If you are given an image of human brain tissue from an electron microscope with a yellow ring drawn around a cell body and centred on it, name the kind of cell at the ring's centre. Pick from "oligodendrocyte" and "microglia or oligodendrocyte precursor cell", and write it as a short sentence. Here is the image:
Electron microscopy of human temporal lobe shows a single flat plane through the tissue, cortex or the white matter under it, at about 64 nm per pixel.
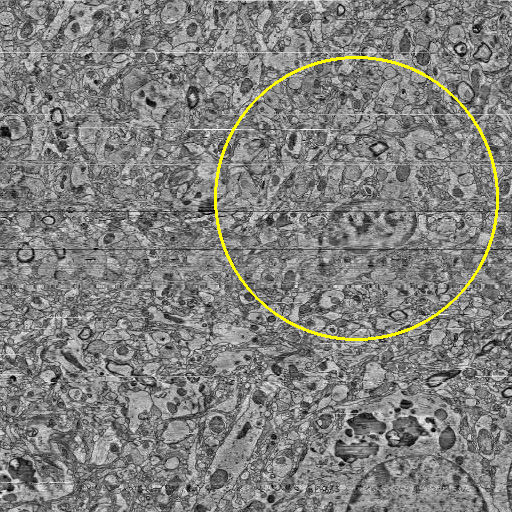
The cell at the ring's centre is a microglial cell or oligodendrocyte precursor cell.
